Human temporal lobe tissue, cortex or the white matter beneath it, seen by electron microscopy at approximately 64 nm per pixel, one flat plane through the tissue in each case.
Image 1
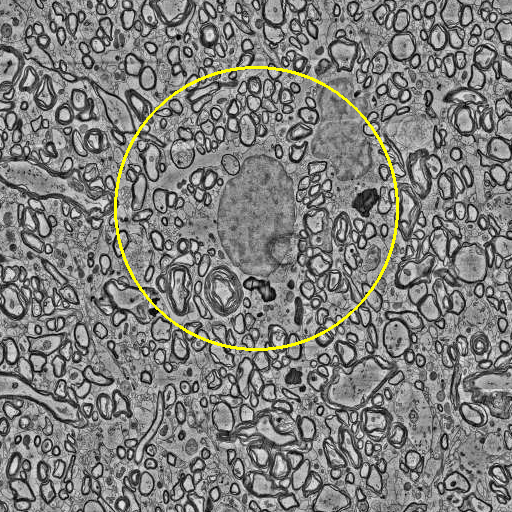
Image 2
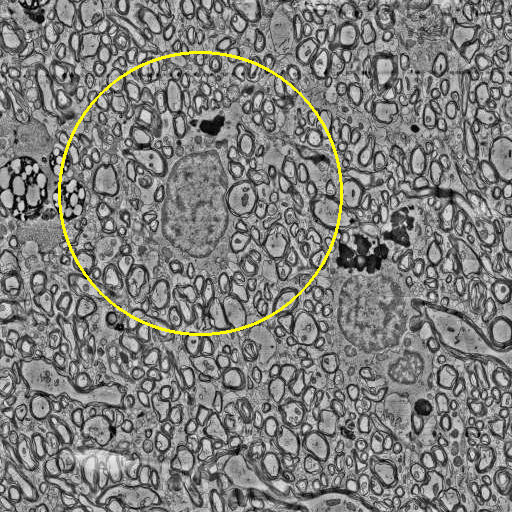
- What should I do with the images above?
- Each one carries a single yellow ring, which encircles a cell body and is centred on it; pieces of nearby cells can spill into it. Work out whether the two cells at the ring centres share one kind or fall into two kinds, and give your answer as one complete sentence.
The ring-centre cells of Image 1 and Image 2 share one kind.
